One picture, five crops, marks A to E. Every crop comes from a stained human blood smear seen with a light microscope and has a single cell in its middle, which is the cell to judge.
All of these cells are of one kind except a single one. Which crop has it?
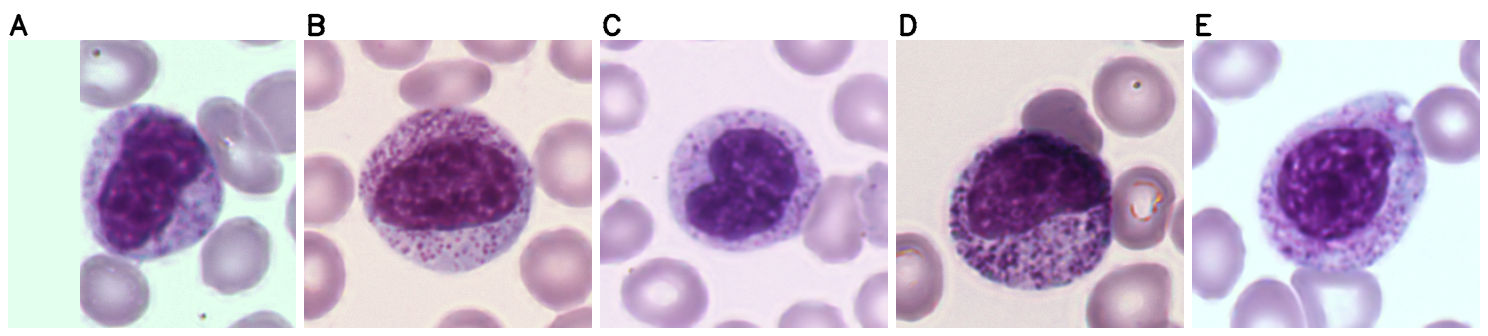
E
